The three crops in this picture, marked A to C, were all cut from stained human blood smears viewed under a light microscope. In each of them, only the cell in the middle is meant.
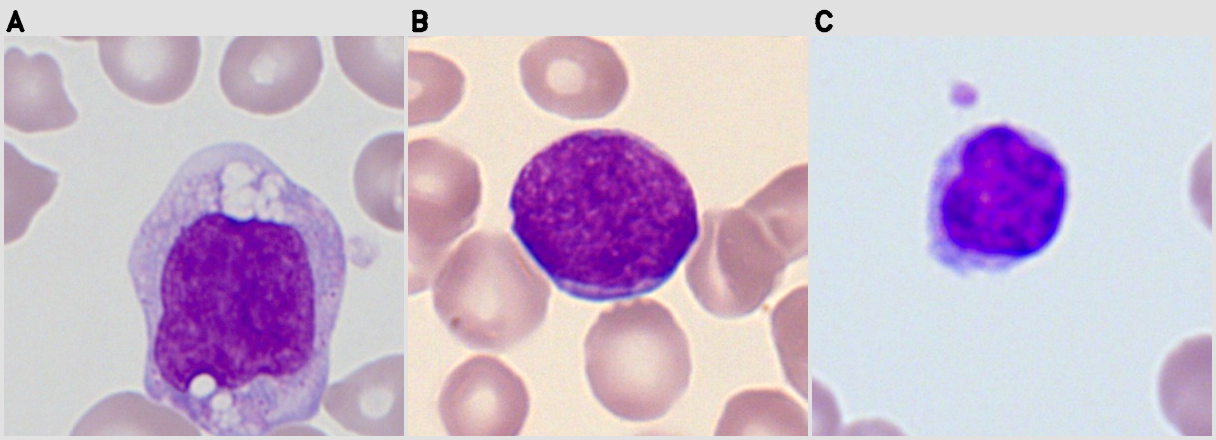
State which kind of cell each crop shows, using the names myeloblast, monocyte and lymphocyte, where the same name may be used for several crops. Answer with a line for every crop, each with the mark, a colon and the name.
A: monocyte
B: myeloblast
C: lymphocyte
